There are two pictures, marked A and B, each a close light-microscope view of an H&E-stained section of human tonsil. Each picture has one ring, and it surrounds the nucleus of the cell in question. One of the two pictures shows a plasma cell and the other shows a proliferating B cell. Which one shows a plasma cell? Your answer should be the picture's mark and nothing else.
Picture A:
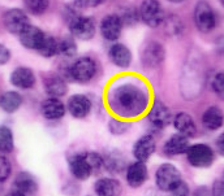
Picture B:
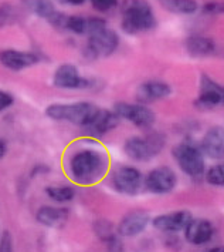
B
